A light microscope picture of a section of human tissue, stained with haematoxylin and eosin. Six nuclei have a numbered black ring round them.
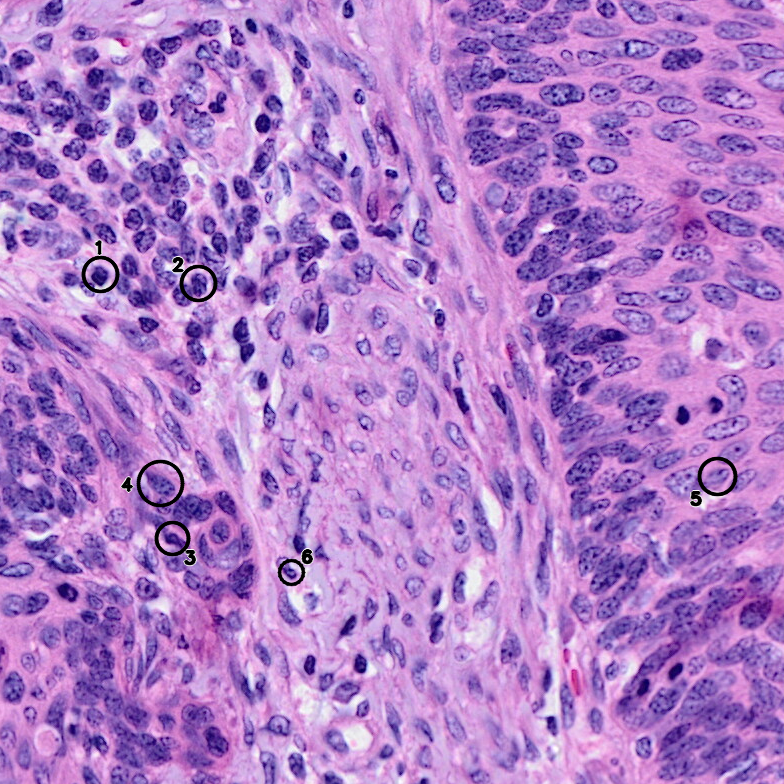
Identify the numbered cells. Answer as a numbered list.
1. lymphocyte
2. lymphocyte
3. lymphocyte
4. squamous carcinoma cell
5. squamous carcinoma cell
6. lymphocyte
